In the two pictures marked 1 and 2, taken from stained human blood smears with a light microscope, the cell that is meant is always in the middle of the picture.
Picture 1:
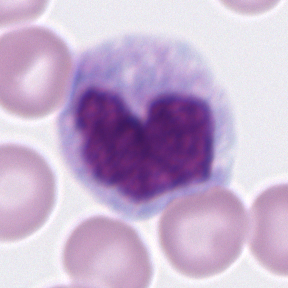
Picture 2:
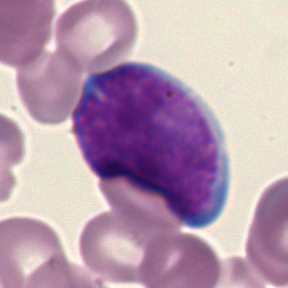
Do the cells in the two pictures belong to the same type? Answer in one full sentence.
No, picture 1 shows a monocyte and picture 2 shows a myeloblast.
